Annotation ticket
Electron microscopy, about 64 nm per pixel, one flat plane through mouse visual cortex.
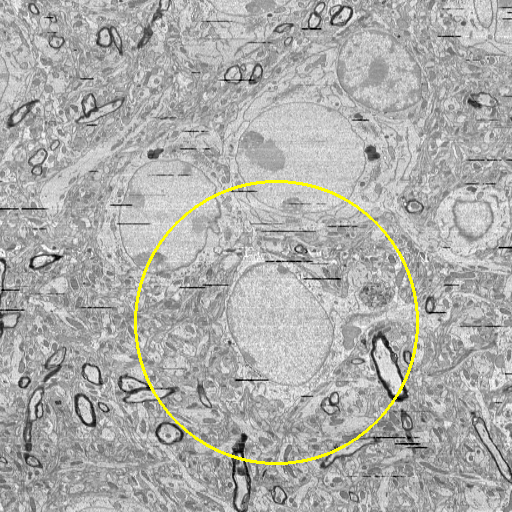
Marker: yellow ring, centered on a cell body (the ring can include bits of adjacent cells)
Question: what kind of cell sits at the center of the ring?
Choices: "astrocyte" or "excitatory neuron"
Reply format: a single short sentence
The ring is centered on an astrocyte.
